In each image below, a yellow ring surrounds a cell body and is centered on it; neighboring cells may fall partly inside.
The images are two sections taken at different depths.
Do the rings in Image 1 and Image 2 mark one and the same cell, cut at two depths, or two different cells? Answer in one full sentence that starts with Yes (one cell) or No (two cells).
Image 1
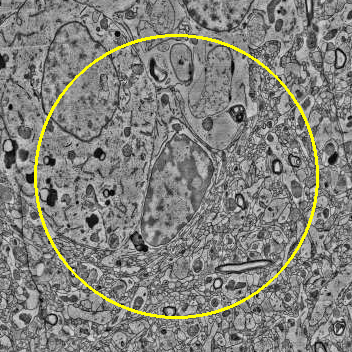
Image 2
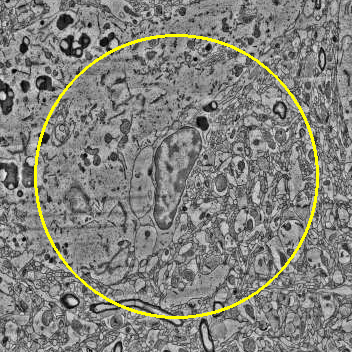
No, the two circled cells are distinct from one another.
